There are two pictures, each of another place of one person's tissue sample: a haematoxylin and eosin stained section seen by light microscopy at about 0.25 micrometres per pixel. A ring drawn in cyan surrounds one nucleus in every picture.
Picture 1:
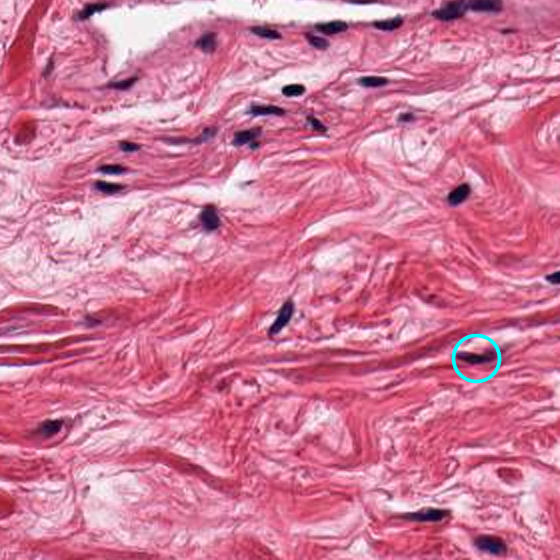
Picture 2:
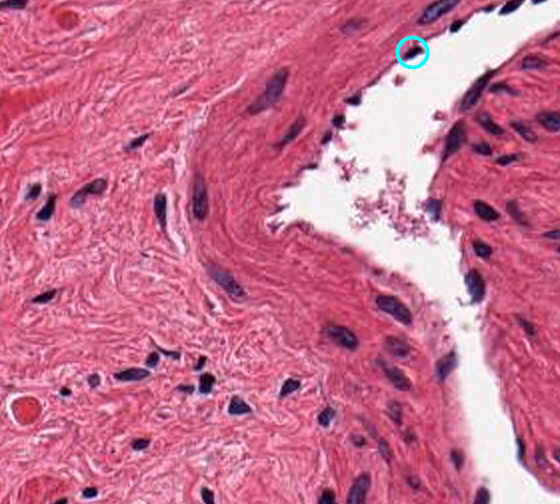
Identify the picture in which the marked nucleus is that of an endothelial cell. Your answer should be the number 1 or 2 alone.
2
